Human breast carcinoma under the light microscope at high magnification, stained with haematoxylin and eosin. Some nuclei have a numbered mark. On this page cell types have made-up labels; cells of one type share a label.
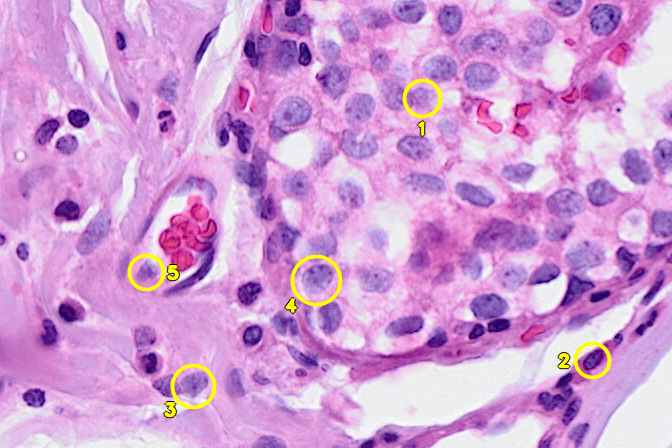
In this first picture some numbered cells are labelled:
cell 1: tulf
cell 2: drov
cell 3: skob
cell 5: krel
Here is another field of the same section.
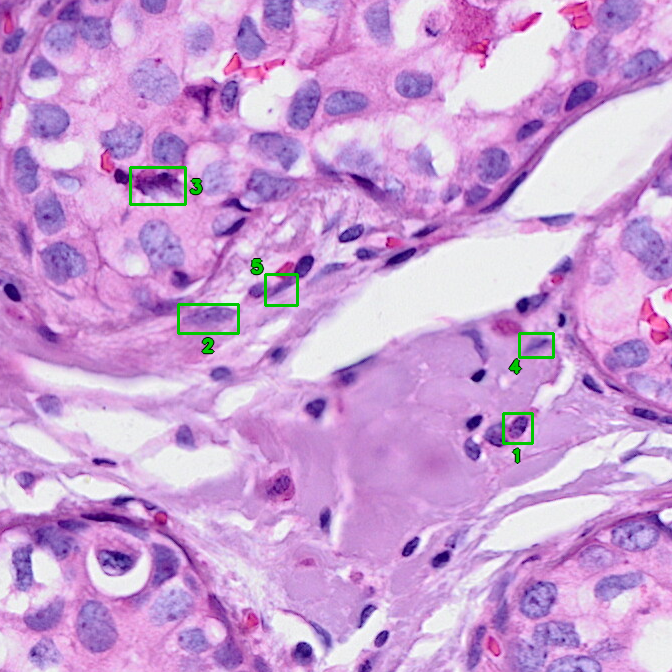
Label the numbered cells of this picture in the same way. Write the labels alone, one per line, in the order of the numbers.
drov
skob
tulf
skob
krel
